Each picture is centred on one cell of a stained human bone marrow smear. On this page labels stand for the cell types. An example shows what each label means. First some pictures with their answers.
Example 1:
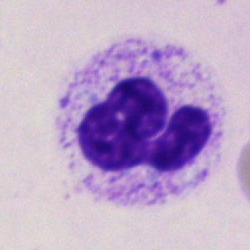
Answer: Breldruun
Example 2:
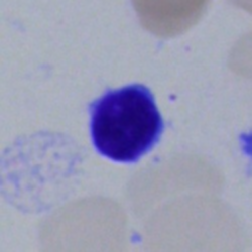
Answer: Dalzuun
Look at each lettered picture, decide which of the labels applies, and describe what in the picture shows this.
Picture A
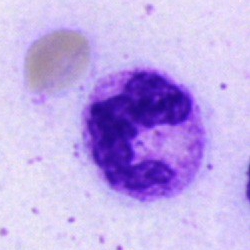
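Answer: Breldruun. The nucleus is bent into a C shape whose opening faces right.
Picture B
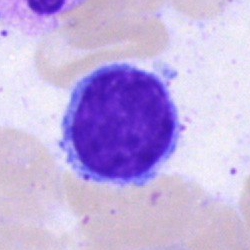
Answer: Dalzuun. The cytoplasm forms only a thin blue rim around the nucleus.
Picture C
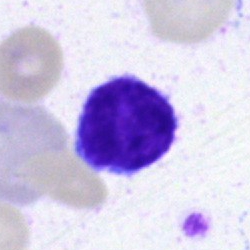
Answer: Dalzuun. The nucleus fills almost the whole cell.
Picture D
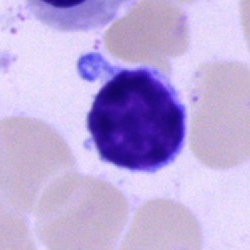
Answer: Dalzuun. Cytoplasm is scant, with at most a very thin rim visible around the nucleus.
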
